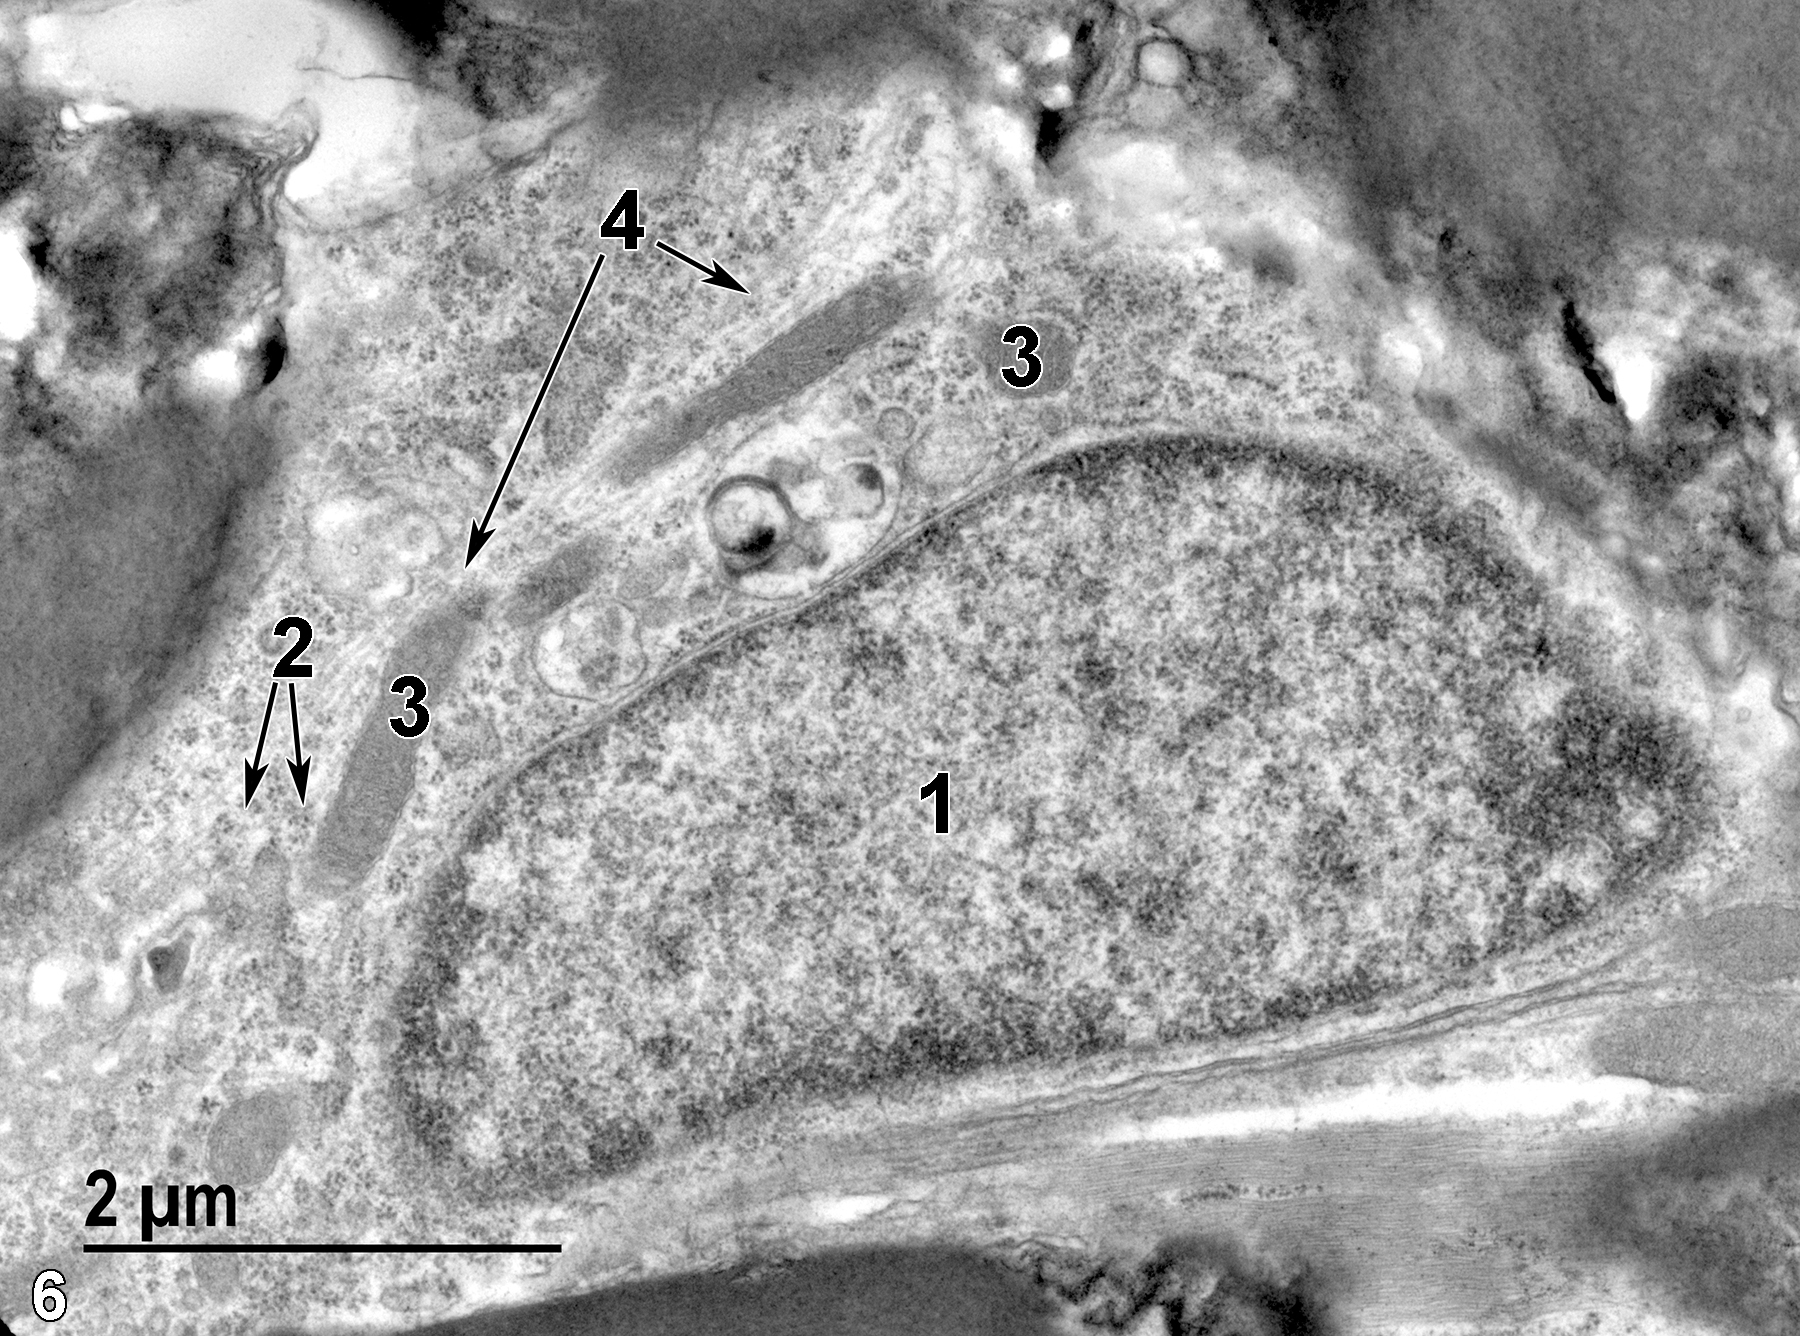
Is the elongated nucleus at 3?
No: the mitochondria.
